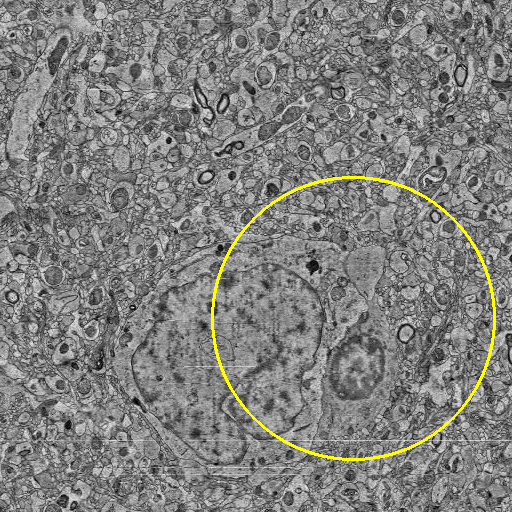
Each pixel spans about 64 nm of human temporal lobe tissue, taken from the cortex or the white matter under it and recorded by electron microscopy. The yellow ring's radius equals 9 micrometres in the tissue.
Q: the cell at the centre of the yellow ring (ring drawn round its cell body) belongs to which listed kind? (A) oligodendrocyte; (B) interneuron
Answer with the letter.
A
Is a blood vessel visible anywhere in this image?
No.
